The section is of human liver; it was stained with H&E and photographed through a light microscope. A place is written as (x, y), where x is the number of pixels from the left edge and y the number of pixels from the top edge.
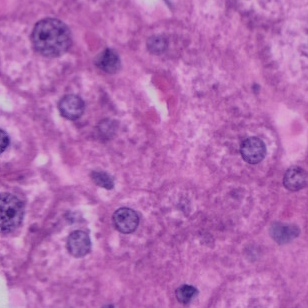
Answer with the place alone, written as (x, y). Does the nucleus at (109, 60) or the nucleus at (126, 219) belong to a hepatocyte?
(126, 219)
